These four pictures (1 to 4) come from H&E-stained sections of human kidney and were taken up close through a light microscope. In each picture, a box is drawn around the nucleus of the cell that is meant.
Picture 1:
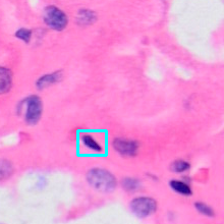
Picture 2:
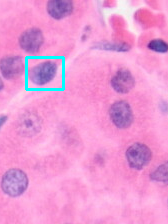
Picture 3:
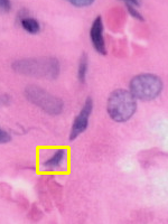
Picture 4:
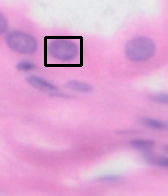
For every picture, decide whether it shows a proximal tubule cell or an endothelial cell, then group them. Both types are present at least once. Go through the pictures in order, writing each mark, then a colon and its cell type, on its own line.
1: endothelial cell
2: endothelial cell
3: endothelial cell
4: proximal tubule cell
